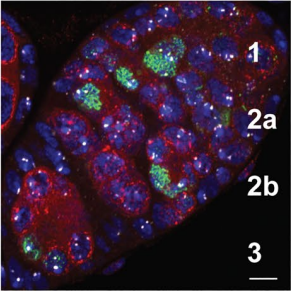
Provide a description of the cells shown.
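A germarium in which clusters of large germline cells with red cytoplasm are grouped into cysts, surrounded by smaller somatic cells whose blue nuclei lack red. Several germline nuclei contain extensive green thread-like staining filling much of the nucleus, while small white dots are scattered among the nuclei.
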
